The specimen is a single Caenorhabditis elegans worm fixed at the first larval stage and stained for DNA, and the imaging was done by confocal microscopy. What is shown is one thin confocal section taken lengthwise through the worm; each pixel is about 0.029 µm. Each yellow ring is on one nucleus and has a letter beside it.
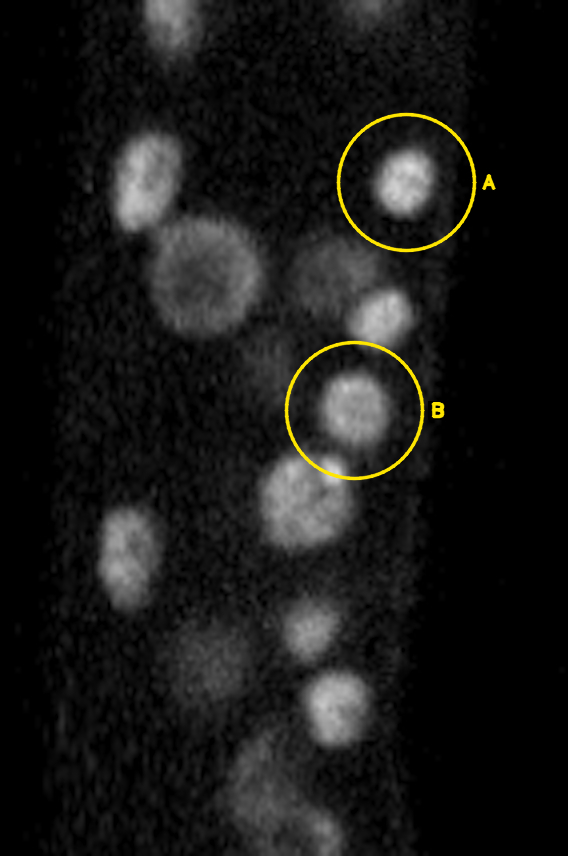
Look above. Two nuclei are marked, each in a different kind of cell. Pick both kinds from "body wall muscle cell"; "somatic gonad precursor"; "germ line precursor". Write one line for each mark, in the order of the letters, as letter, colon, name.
A: body wall muscle cell
B: somatic gonad precursor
